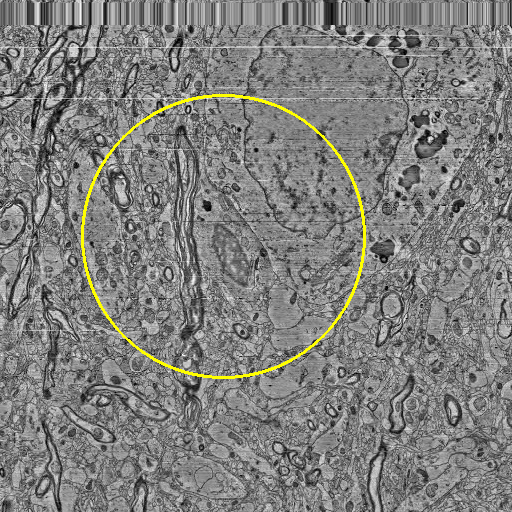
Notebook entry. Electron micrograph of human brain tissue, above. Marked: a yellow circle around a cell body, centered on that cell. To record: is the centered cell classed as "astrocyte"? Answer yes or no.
No, the centered cell belongs to another kind.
